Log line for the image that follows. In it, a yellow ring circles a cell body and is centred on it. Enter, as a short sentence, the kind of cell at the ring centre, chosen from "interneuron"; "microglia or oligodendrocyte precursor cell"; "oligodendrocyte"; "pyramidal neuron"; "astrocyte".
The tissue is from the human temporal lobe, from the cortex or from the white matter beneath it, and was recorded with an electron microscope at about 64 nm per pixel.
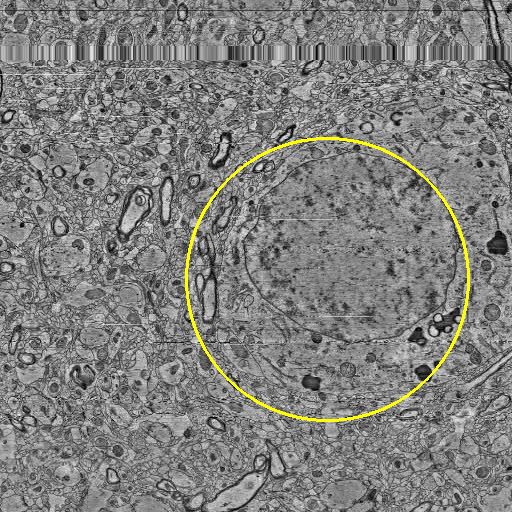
The ring centre is occupied by a pyramidal neuron.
